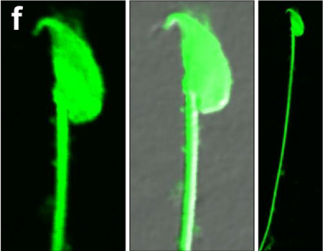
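A spermatozoon with a hooked head and long flagellum is shown in green fluorescence beside a grey overlay and a lower-magnification view. Green covers the entire head, including its hooked tip, and continues along the whole length of the tail, with small bright dots along the mid-piece. The labeling spans the entire spermatozoon.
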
